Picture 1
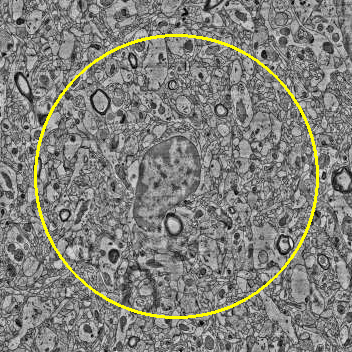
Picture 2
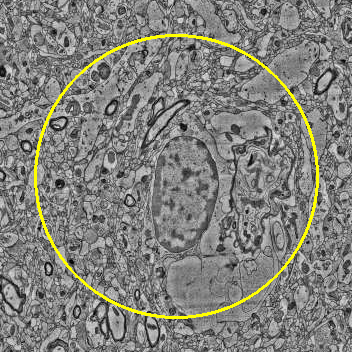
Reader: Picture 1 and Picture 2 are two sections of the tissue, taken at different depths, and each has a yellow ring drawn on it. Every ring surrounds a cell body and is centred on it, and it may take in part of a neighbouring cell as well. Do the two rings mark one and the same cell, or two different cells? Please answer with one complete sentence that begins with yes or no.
No, two separate cells are outlined by these yellow rings.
